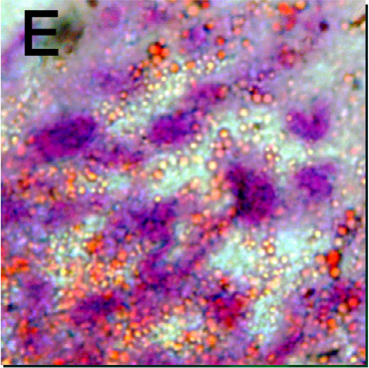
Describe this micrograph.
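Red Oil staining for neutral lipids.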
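Adipogenic cells with purple-stained nuclei are packed across the field. Their cytoplasm is filled with many small round refractile vacuoles, yellow-orange to red, giving each cell a multivacuolar look.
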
